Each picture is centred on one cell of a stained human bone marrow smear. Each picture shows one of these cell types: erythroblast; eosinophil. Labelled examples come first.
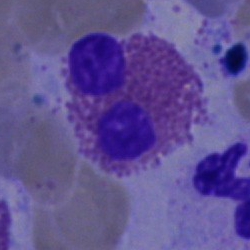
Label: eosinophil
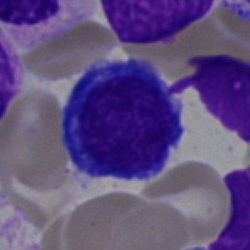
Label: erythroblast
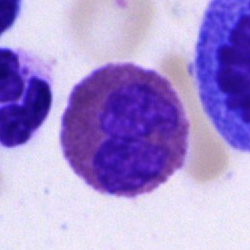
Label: eosinophil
